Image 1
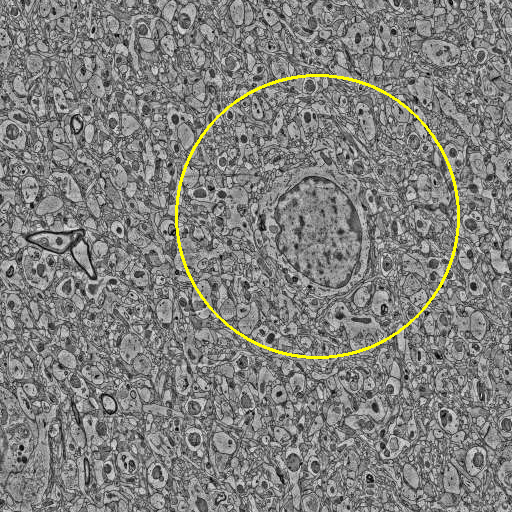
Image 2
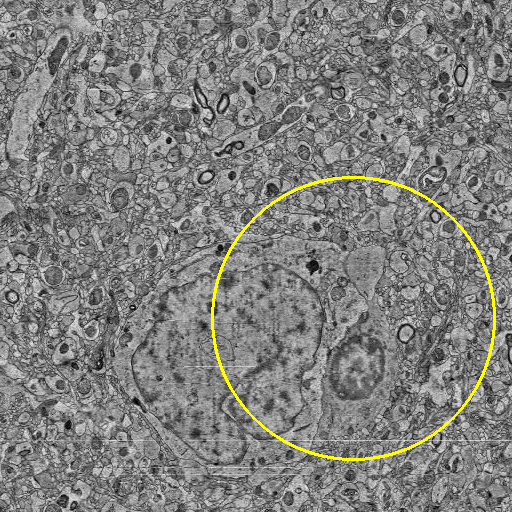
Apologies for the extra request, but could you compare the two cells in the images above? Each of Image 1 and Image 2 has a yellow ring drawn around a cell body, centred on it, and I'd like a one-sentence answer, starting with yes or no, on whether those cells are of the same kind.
No, the two cells are of two kinds.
